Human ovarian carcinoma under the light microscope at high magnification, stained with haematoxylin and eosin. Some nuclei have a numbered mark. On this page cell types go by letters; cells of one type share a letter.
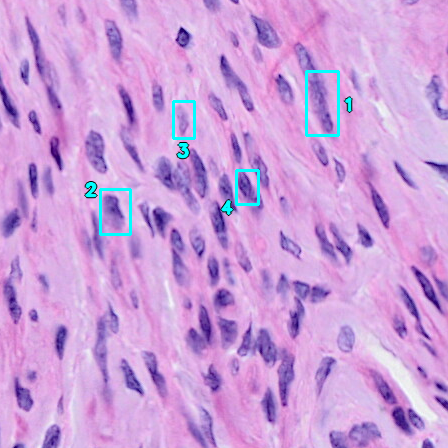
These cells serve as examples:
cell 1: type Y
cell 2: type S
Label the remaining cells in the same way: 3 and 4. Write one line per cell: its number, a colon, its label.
3: type Y
4: type Y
